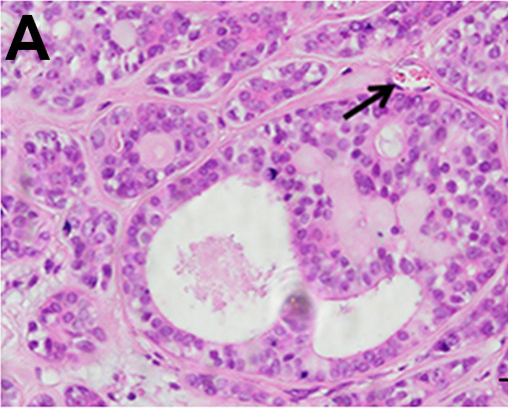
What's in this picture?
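This is adenoid cystic carcinoma tissue made of nests of small basaloid tumour cells. The cells are crowded, with round to oval dark purple nuclei and scant pale cytoplasm. They are arranged in a sieve-like pattern around round cyst-like spaces, the largest of which is empty-looking with a little pale pink fluffy material inside; smaller spaces contain pink material. Thin pink fibrous septa separate neighbouring nests. In the stroma between nests lies a small vessel lumen containing a few red blood cells.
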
